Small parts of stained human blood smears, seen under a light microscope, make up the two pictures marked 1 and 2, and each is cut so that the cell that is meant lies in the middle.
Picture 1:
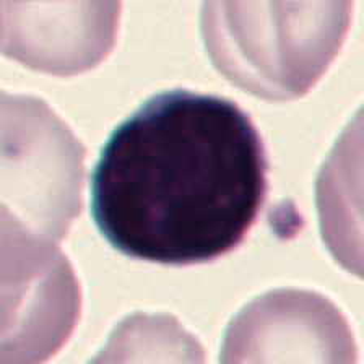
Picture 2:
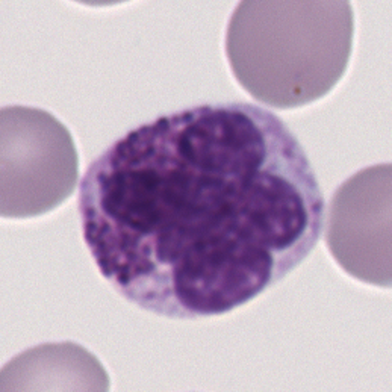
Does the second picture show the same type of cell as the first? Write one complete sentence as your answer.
No, the types are not the same, since picture 1 shows a typical lymphocyte and picture 2 a basophil.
